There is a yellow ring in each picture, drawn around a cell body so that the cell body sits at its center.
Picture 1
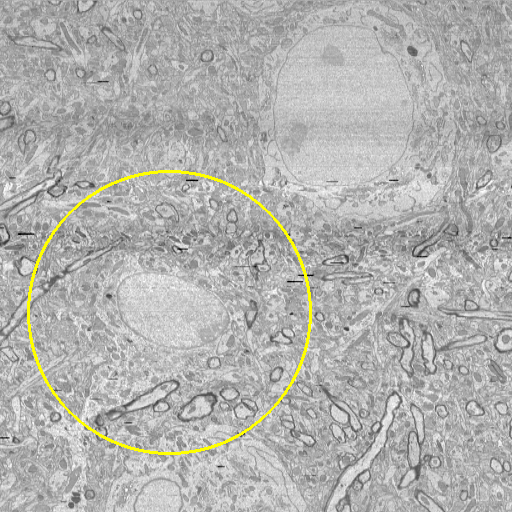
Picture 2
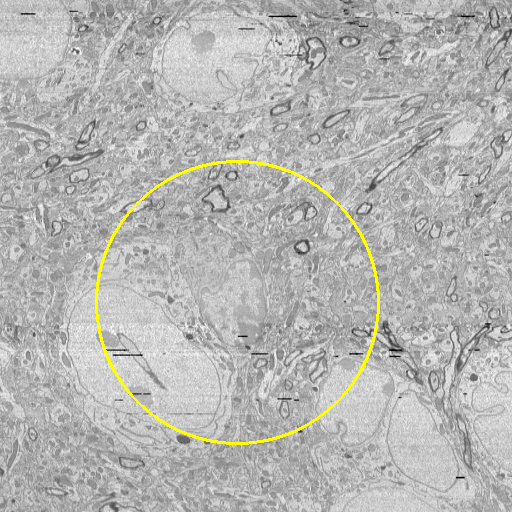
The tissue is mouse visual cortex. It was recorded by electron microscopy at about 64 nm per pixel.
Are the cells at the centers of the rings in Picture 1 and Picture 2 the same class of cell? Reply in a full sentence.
No, the two cells are two classes of cell.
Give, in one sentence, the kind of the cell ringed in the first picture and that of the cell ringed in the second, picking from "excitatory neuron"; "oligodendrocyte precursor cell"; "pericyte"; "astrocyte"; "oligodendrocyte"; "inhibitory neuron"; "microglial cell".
For the first picture it is an astrocyte; for the second, an oligodendrocyte.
